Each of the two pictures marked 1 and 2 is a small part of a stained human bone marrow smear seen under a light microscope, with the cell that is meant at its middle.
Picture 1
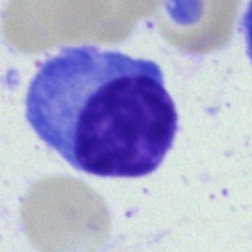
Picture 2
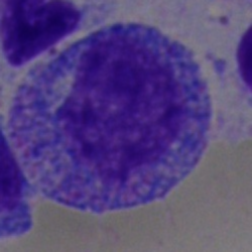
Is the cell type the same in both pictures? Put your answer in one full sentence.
No, the types are not the same, since picture 1 shows a plasma cell and picture 2 a promyelocyte.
